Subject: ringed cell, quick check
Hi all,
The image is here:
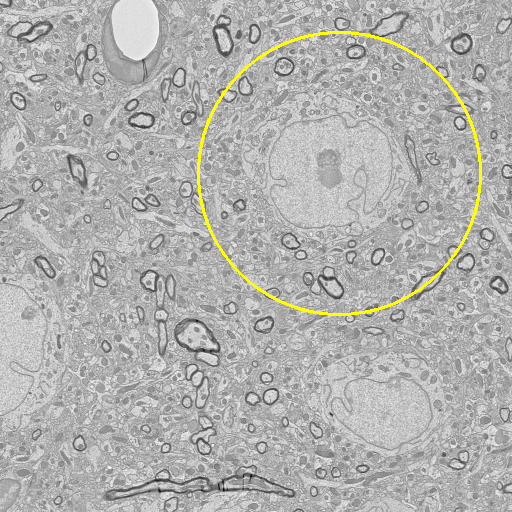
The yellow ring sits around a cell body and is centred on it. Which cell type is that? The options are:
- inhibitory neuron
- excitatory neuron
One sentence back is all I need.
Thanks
That ringed cell is an inhibitory neuron.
